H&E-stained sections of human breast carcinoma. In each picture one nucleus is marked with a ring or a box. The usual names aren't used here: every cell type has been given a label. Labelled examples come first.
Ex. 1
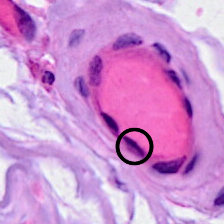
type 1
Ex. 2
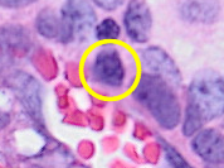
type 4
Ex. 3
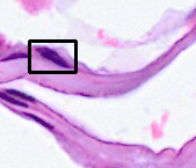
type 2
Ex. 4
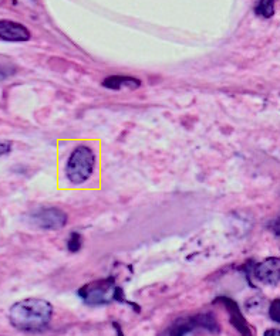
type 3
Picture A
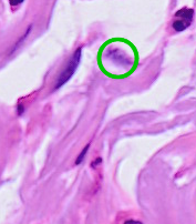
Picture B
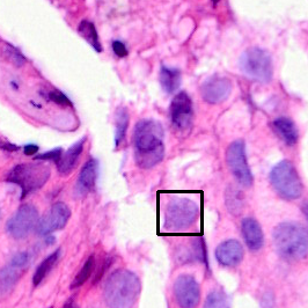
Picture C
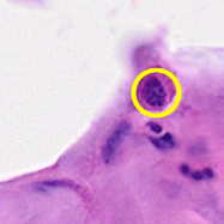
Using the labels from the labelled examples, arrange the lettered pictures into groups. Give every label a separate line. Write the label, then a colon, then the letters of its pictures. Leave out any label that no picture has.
type 4: B
type 2: A
type 3: C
